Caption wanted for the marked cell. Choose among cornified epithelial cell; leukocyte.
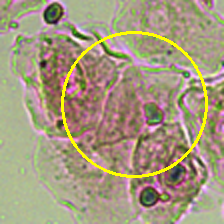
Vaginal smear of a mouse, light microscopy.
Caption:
Ringed in yellow is a cornified epithelial cell.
